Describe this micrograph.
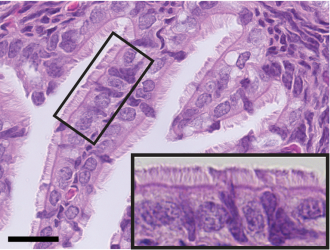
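This is the lining of the oviduct, with slender mucosal folds projecting into a pale, empty lumen and covered by a simple columnar epithelium. In the enlarged inset, many cells carry a dense, brush-like tuft of fine cilia on their apical surface, which gives the free border a fringed appearance. Each fold has a thin core of connective tissue with small, dark, elongated nuclei beneath the epithelium.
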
